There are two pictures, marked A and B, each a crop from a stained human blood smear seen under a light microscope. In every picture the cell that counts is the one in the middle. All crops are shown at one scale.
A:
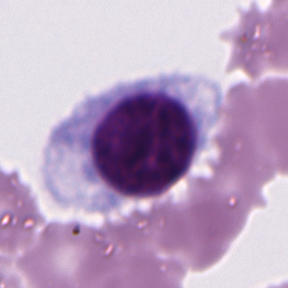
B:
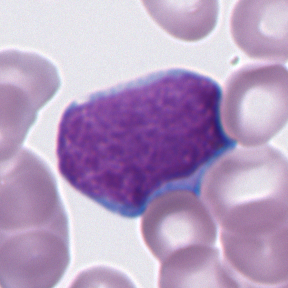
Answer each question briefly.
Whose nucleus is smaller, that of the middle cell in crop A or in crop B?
A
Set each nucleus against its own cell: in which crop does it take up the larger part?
B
